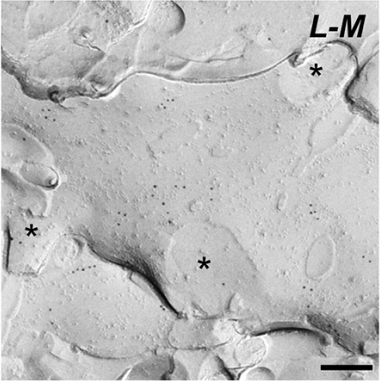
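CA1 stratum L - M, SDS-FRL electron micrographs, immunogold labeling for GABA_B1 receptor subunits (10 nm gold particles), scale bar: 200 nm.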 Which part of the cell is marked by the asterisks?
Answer: Spines and fractured spine necks.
